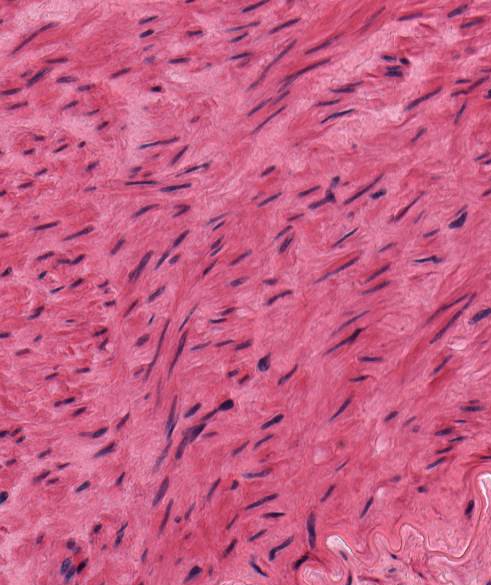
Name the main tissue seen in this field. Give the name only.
tunica media of an artery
